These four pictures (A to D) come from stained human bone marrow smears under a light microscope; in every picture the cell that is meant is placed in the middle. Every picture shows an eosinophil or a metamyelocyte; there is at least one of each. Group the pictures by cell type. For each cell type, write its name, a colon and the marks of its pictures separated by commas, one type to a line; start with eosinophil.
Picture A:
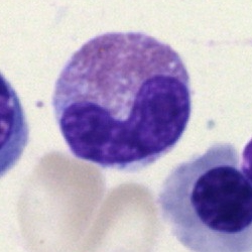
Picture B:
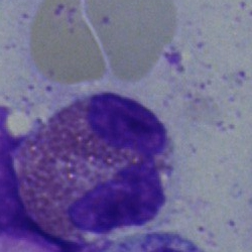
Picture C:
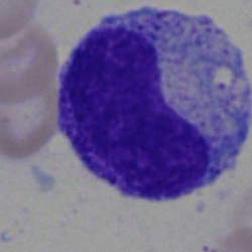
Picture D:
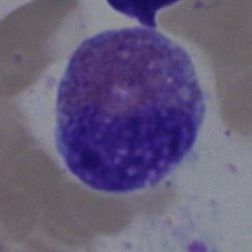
eosinophil: A, B, D
metamyelocyte: C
